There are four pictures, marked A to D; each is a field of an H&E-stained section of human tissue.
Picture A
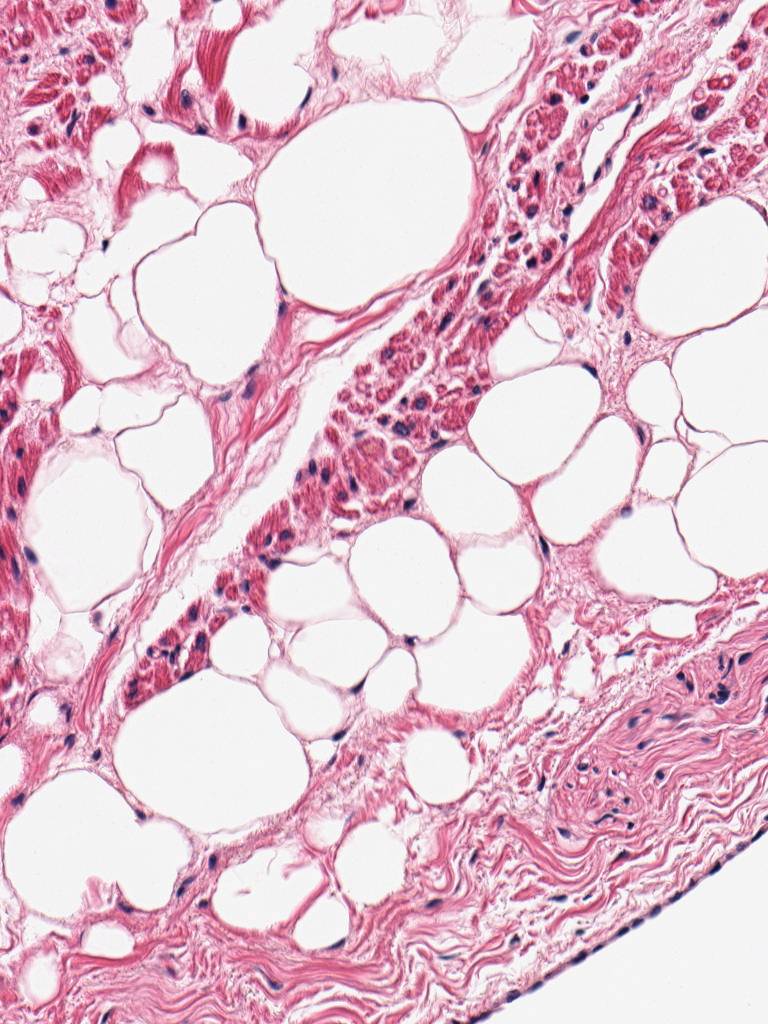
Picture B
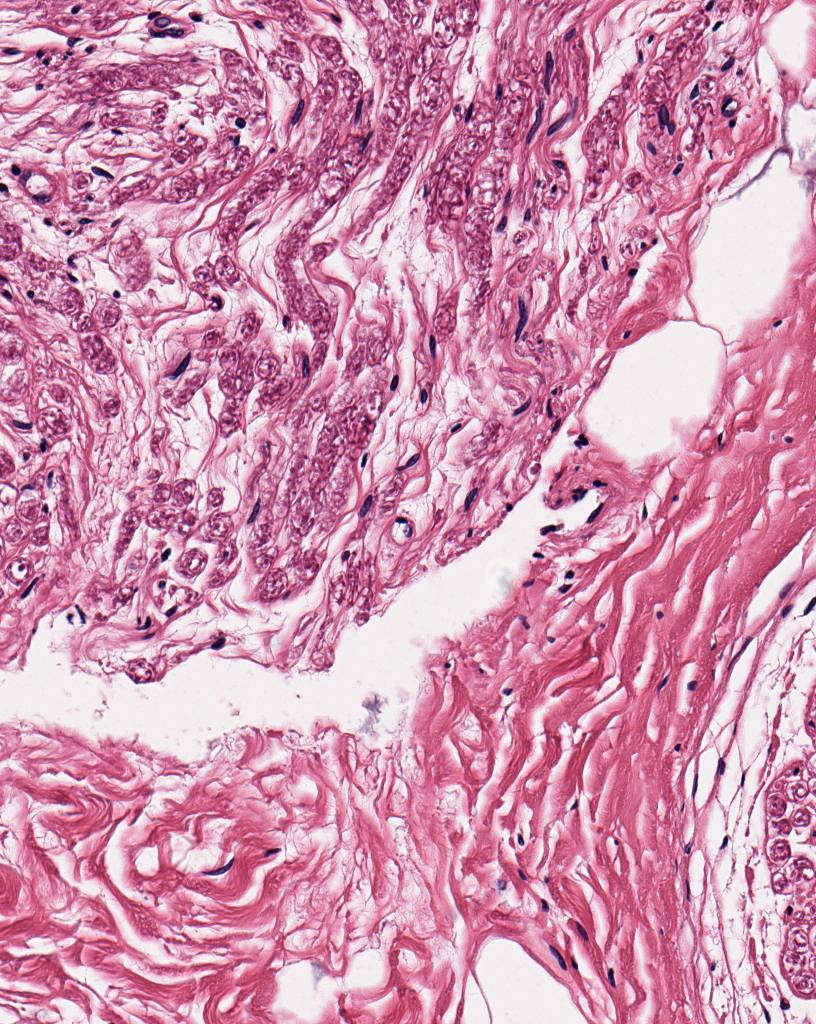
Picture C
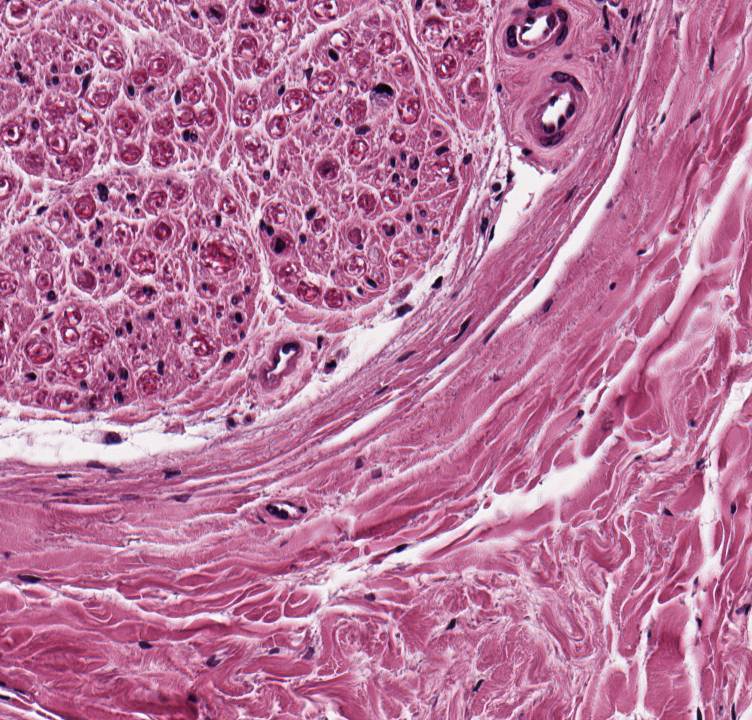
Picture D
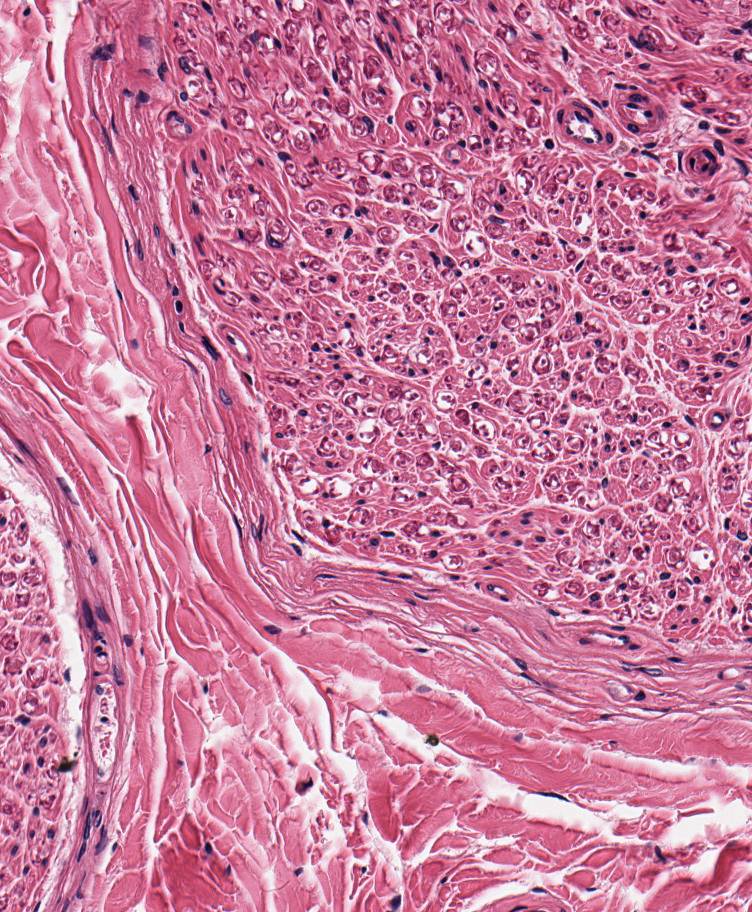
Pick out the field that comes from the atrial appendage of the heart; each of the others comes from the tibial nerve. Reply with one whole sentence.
It is picture A that comes from the atrial appendage of the heart.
